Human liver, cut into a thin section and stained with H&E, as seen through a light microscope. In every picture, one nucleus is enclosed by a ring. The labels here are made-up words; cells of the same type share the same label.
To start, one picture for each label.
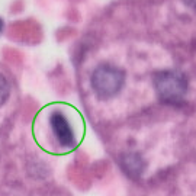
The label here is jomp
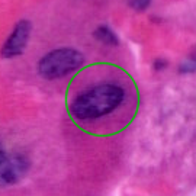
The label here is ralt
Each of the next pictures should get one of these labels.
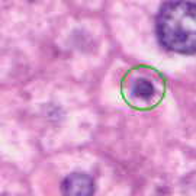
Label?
jomp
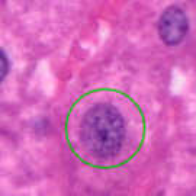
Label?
ralt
